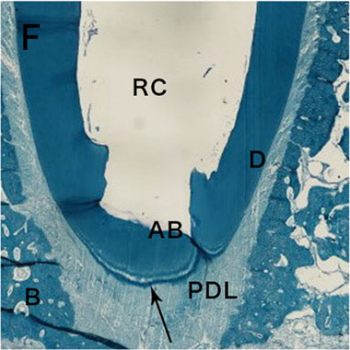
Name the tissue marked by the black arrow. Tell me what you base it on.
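Cementum. The arrow points to a thin layer on the outer surface of the apical hard tissue. The layer lies between the blue-green hard tissue and the pale fibrous ligament.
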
